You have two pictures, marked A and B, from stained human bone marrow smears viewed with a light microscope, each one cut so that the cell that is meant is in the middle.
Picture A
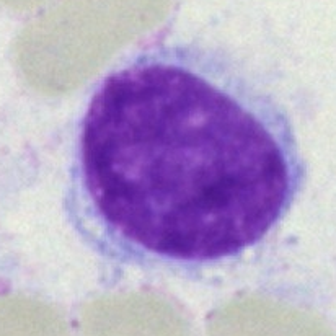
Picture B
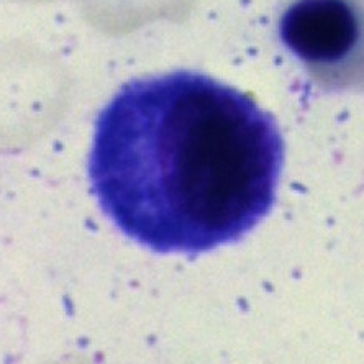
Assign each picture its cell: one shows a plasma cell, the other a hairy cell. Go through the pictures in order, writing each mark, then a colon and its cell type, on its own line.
A: hairy cell
B: plasma cell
